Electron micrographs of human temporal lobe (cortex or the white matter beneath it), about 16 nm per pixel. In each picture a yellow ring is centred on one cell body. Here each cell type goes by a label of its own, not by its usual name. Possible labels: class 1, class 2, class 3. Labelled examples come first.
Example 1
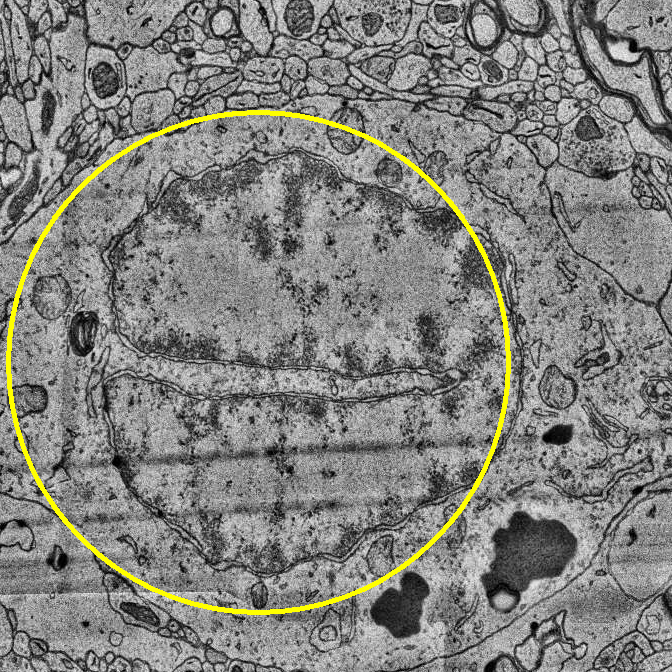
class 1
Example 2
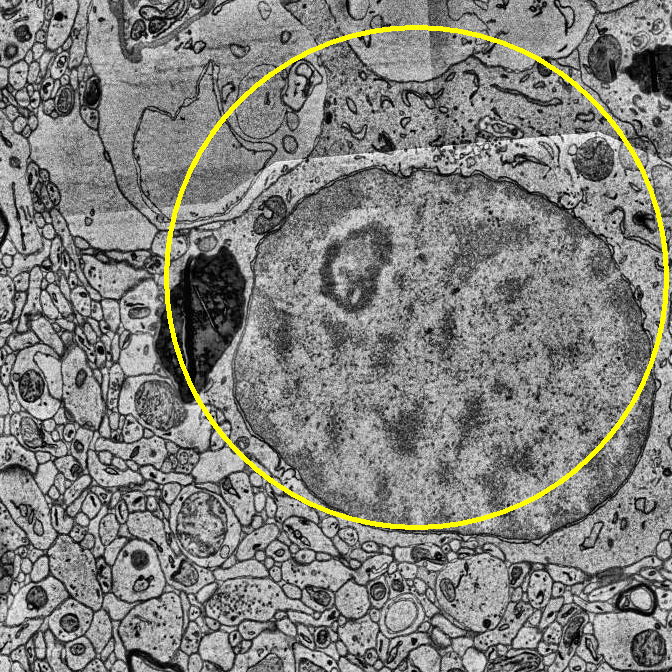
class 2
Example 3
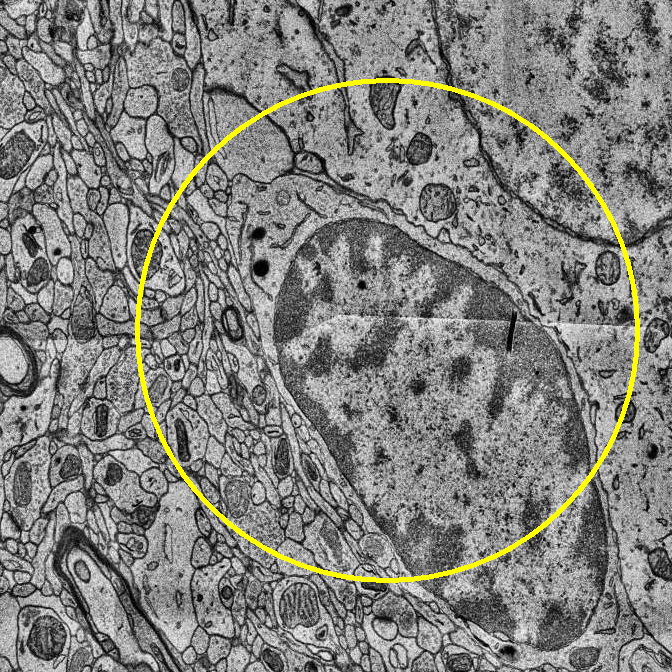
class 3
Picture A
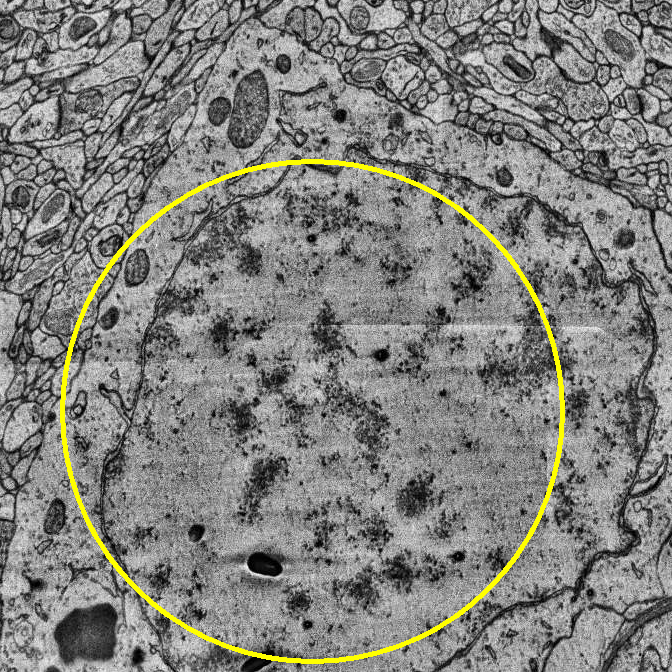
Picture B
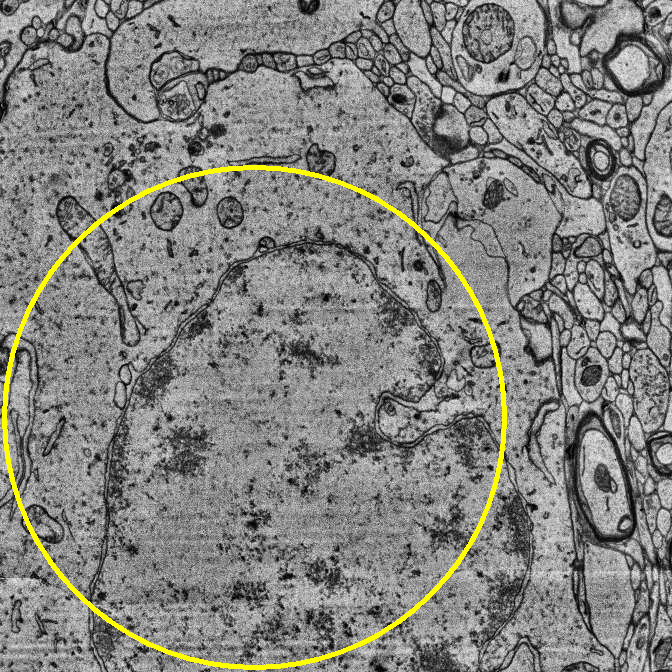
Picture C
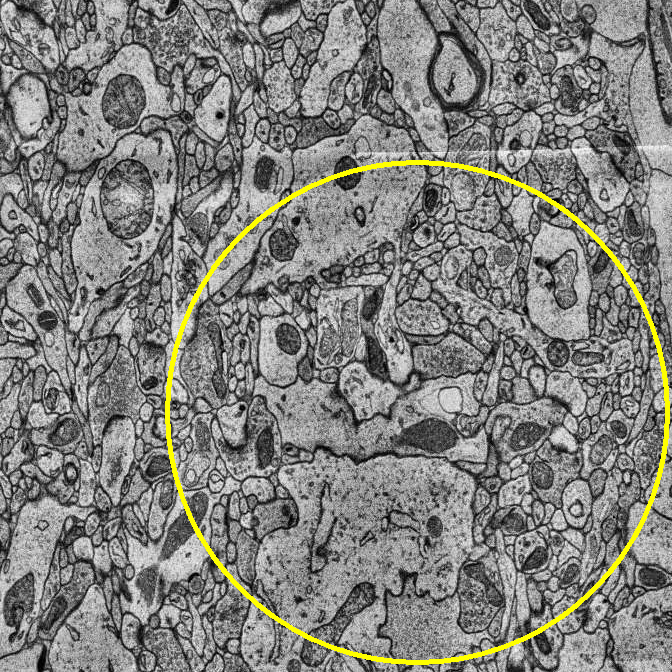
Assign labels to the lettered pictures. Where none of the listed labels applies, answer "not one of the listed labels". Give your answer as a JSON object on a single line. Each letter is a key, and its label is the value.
{"A": "class 1", "B": "class 1", "C": "class 1"}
